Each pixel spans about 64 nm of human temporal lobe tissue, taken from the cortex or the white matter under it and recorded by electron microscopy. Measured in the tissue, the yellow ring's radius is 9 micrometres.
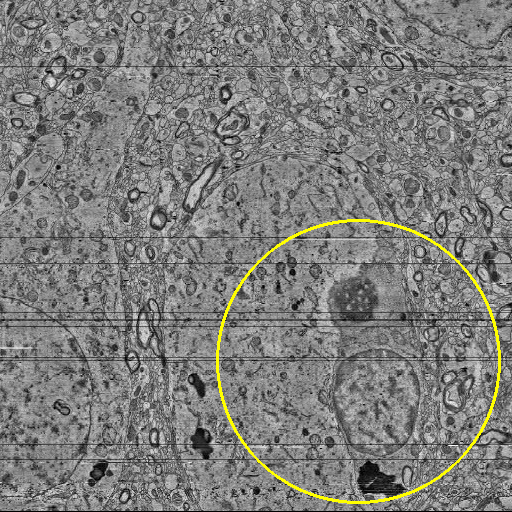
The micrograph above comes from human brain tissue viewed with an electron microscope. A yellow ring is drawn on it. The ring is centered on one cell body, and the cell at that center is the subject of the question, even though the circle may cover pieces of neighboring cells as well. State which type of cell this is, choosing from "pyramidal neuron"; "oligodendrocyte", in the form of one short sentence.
The cell the ring is centered on is an oligodendrocyte.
